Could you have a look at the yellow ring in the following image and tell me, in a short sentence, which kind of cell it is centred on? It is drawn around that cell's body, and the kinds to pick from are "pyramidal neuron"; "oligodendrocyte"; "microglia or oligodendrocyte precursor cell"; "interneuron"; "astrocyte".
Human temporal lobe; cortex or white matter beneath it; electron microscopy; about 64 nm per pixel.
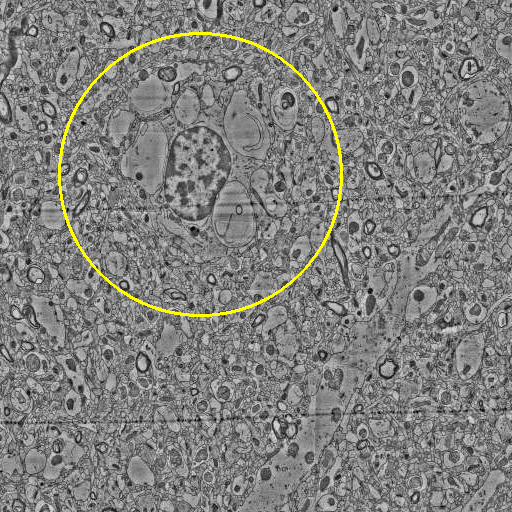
The ring is centred on the body of a microglial cell or oligodendrocyte precursor cell.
